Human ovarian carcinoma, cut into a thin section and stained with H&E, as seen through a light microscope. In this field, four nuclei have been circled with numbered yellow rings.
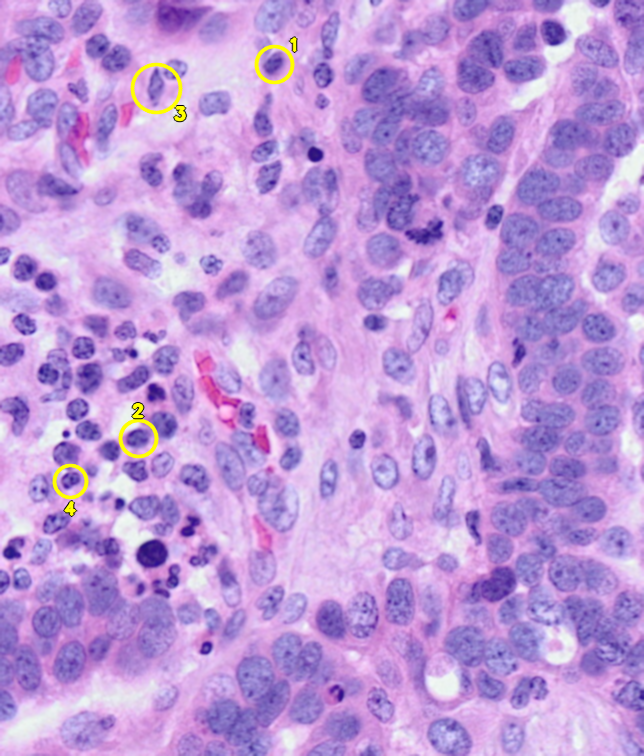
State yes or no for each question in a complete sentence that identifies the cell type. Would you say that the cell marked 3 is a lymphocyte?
No, cell 3 is a macrophage or monocyte, not a lymphocyte.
